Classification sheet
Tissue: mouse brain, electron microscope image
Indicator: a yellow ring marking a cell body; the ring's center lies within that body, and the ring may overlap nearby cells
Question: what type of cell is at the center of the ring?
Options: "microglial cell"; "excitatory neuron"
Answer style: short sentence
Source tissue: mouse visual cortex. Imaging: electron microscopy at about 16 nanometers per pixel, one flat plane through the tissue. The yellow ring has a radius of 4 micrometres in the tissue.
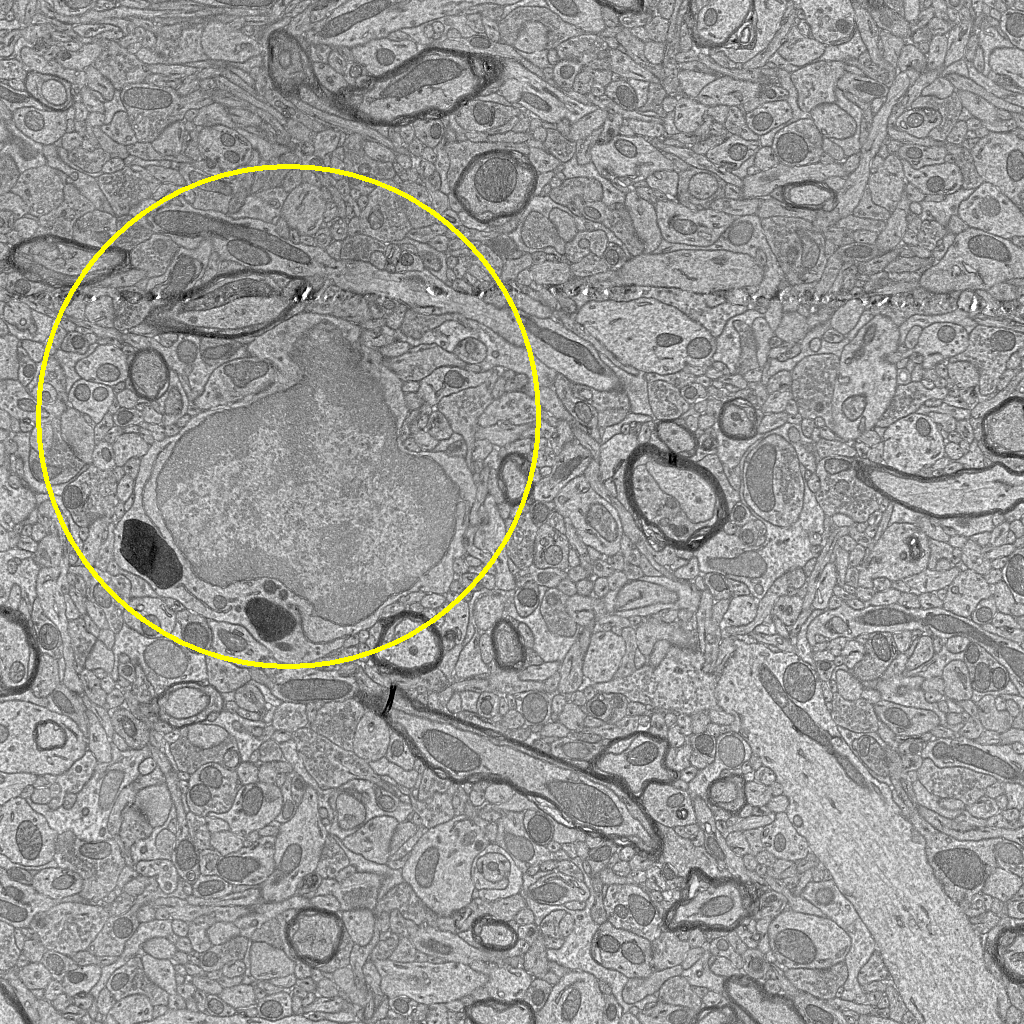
At the ring's center is a microglial cell.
